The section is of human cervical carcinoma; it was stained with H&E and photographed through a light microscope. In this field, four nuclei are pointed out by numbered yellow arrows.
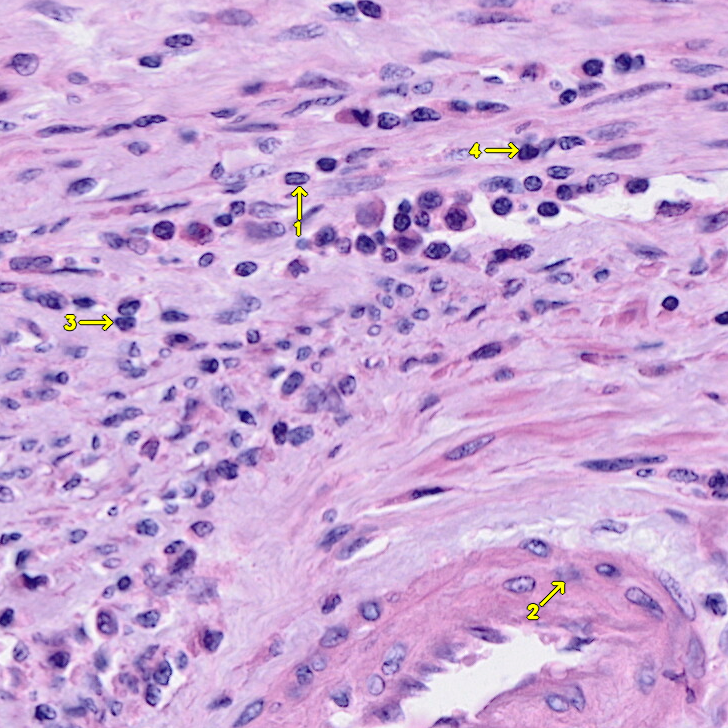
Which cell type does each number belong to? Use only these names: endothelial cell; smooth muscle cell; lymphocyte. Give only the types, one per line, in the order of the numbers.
lymphocyte
smooth muscle cell
lymphocyte
lymphocyte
